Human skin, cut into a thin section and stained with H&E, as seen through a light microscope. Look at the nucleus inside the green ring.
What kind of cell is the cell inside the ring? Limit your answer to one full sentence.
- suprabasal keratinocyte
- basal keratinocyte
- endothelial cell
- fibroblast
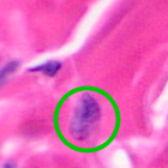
In this tissue section, the cell inside the ring is to be classed as a fibroblast.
